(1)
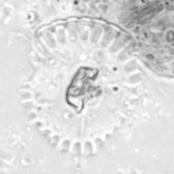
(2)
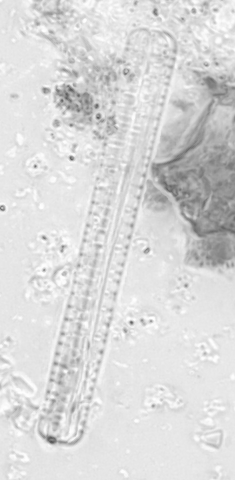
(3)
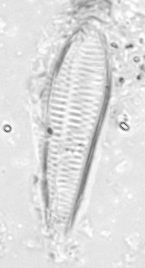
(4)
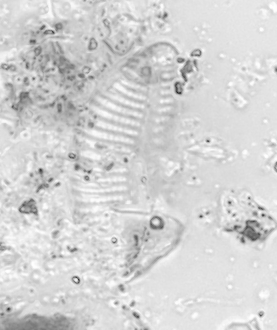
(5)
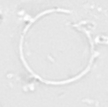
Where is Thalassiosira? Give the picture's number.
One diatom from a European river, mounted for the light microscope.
5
